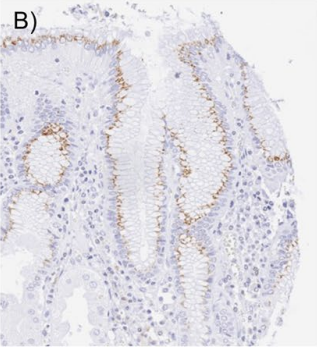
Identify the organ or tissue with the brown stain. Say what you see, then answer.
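Tall columnar cells with pale apical mucin caps line the surface and pits. Thin brown line of granules in the lining cells. Cellular lamina propria between the pits. On this evidence: surface epithelium of the stomach.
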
